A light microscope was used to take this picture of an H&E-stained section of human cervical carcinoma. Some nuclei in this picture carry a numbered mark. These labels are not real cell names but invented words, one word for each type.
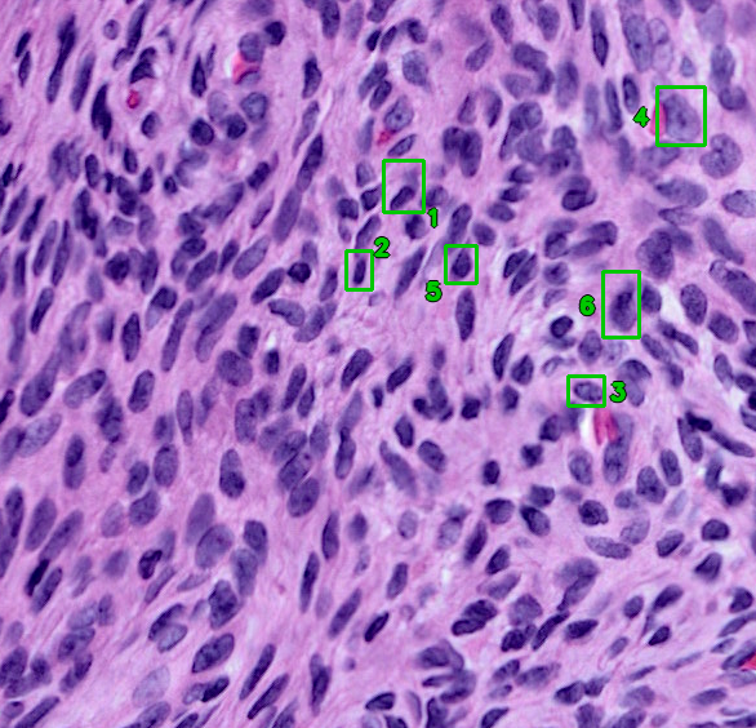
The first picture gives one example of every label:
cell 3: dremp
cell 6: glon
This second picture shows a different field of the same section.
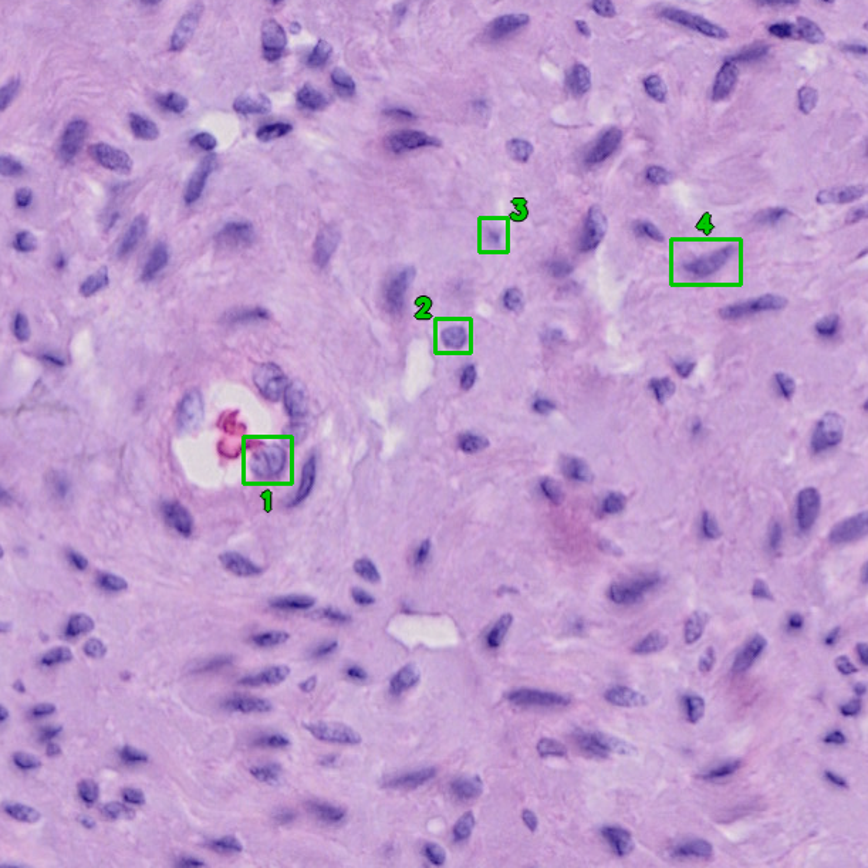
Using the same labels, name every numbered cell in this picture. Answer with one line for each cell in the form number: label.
1: dremp
2: glon
3: glon
4: glon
